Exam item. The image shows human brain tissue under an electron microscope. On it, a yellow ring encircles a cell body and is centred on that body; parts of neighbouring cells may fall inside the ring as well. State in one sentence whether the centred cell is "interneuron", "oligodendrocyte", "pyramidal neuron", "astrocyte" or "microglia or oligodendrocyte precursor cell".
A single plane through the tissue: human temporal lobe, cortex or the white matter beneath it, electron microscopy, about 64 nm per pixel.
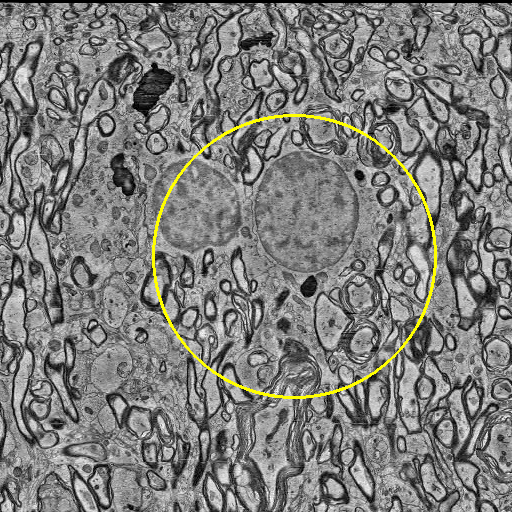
The cell body centred in the ring is an oligodendrocyte.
